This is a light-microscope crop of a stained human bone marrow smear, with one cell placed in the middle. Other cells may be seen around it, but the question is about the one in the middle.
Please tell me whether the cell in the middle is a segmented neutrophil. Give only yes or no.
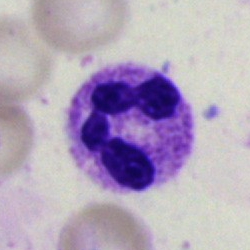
yes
